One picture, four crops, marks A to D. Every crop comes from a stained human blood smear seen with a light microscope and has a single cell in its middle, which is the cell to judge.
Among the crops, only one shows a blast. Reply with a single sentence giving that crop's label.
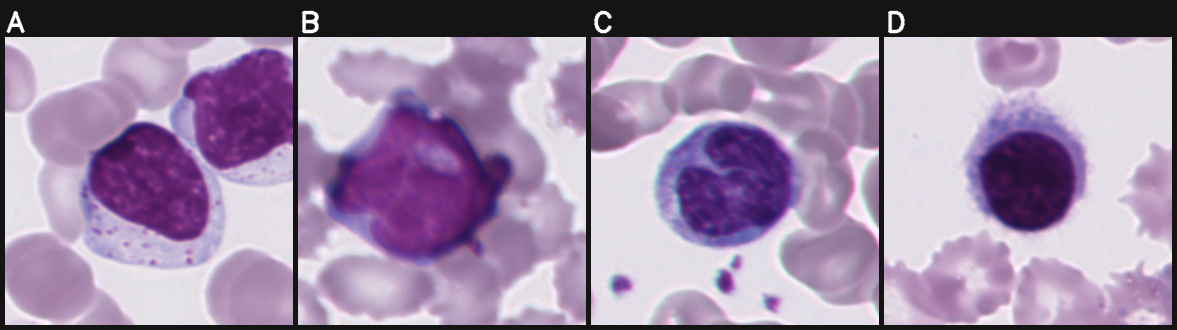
Among the crops provided, a blast occupies the center of crop B.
